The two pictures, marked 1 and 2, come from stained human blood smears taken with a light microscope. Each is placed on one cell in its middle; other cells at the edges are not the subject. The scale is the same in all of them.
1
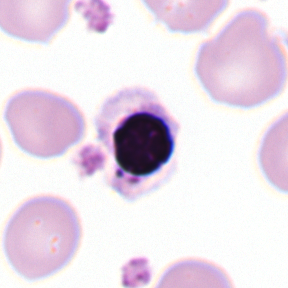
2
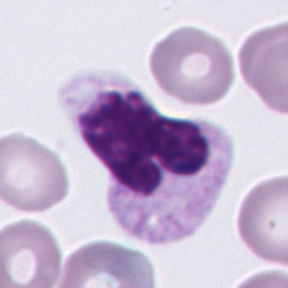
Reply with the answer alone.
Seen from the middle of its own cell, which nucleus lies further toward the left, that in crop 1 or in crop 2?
2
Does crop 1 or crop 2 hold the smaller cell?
1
